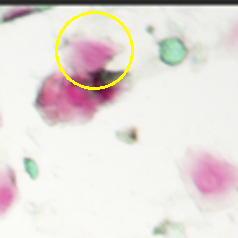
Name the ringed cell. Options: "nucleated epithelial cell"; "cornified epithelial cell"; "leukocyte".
nucleated epithelial cell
